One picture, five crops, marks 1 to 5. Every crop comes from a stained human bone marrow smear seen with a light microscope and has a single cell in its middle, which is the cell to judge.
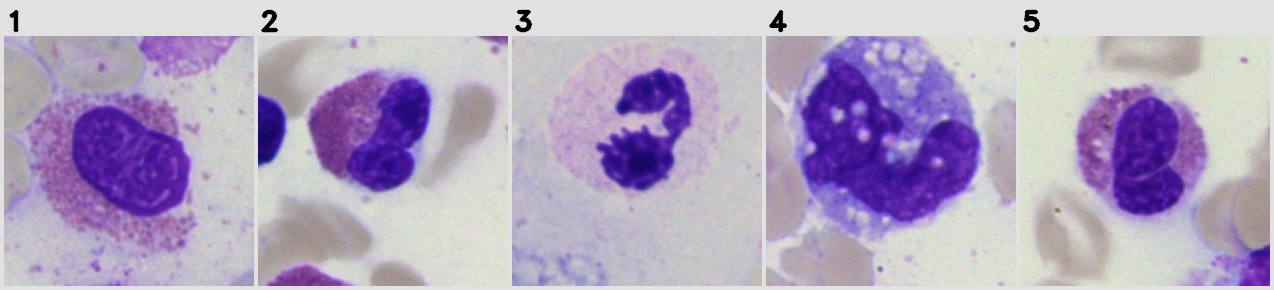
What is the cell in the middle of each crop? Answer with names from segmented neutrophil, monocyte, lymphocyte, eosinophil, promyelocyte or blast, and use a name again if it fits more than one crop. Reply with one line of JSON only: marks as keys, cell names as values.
{"1": "eosinophil", "2": "eosinophil", "3": "segmented neutrophil", "4": "monocyte", "5": "eosinophil"}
